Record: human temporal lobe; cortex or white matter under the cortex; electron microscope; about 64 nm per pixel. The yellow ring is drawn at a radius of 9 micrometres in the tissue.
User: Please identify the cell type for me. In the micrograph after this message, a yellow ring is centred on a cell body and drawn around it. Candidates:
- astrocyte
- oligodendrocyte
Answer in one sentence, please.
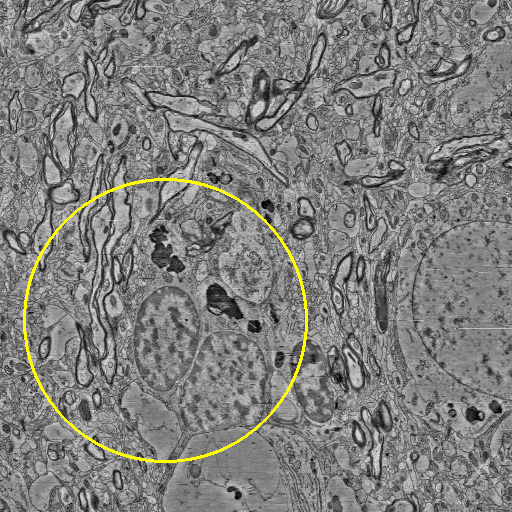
The ring is drawn around the cell body of an oligodendrocyte.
